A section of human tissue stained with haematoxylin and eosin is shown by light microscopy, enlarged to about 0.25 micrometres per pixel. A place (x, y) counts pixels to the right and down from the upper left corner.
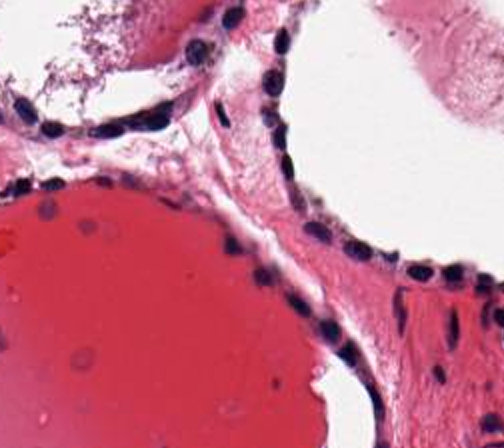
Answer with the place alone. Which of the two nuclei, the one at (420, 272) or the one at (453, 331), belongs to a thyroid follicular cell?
(420, 272)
